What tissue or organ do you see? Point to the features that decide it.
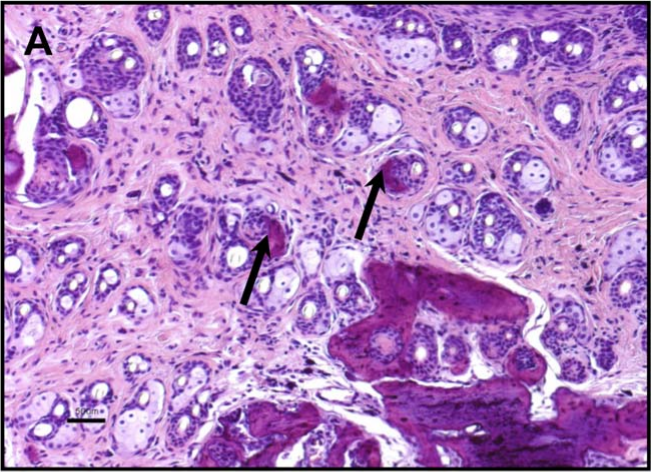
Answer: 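Many round to oval nests of stratified epithelial cells in fibrous pink stroma. Several nests have a central pale or hollow space.
Conclusion: hair follicle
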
